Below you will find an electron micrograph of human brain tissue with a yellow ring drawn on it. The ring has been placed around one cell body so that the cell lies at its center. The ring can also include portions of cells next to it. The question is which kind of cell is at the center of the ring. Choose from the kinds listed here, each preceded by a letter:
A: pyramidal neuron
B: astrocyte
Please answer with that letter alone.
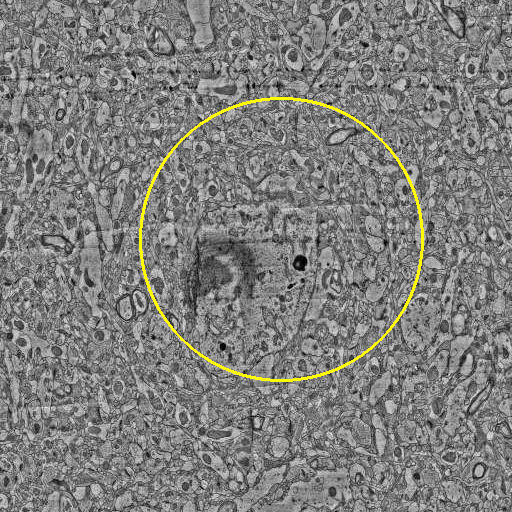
A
